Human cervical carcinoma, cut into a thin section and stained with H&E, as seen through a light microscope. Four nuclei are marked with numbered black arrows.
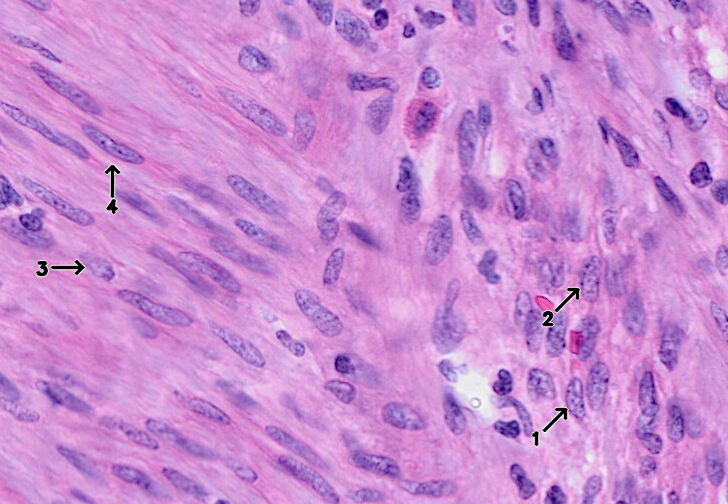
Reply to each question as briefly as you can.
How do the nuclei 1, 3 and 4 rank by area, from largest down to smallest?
4, 1, 3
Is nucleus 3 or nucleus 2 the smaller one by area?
3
